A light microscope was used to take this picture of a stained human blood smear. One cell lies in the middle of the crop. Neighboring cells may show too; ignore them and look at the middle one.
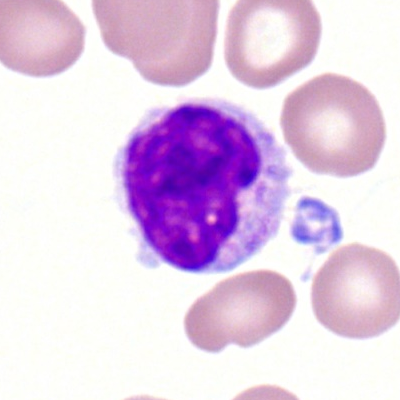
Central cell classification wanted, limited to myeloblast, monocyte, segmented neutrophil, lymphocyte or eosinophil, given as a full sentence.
In short, the cell at the center is a lymphocyte.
